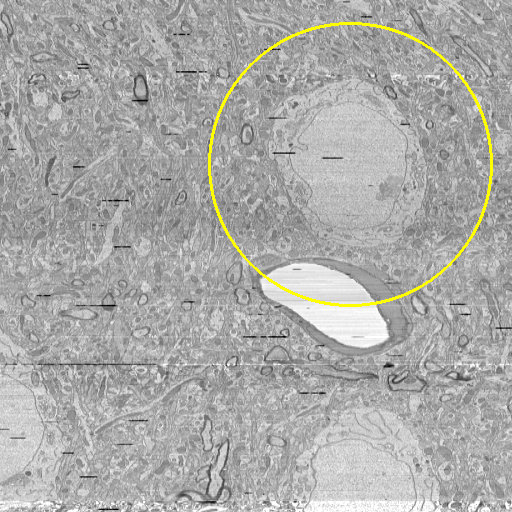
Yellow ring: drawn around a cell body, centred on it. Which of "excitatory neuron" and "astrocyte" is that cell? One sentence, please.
That cell body is from an excitatory neuron.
